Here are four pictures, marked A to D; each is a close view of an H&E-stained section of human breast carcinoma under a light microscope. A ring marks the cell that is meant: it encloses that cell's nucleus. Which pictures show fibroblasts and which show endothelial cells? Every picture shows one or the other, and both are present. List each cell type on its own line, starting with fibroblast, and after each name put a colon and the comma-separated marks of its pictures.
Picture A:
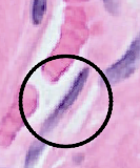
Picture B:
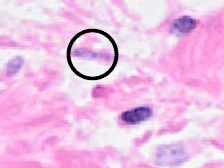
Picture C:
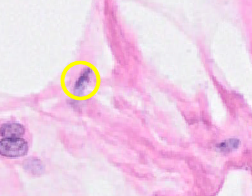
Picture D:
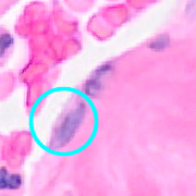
fibroblast: B, C
endothelial cell: A, D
